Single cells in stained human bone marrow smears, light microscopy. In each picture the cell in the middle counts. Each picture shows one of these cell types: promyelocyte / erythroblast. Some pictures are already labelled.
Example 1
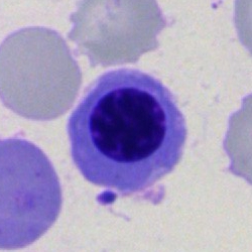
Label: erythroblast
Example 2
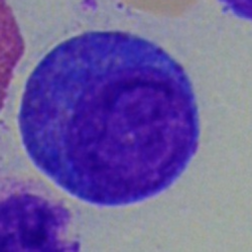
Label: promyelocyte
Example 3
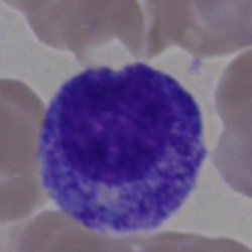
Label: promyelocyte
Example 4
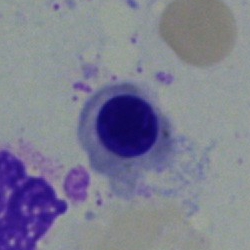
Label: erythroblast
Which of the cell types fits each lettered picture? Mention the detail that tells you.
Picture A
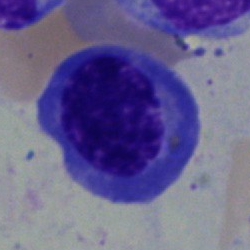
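erythroblast. The chromatin is dark purple and coarsely clumped with paler spaces between the clumps.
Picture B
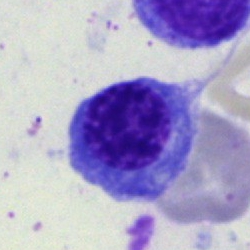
erythroblast. The chromatin is dark purple and coarsely clumped.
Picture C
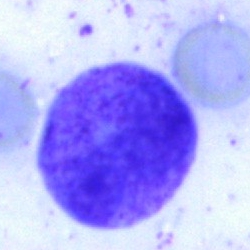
promyelocyte. The chromatin is finely dispersed rather than gathered into coarse clumps.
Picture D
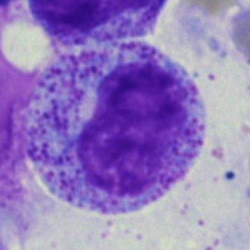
promyelocyte. Numerous purple granules are scattered throughout the cytoplasm.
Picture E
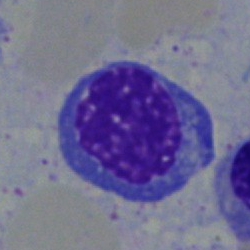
erythroblast. The dark purple chromatin is coarsely clumped with small pale gaps between the clumps.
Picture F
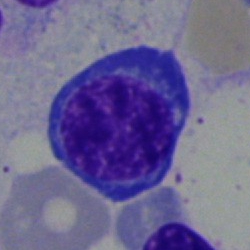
erythroblast. The chromatin is coarse and clumped, dark purple with paler gaps between the clumps.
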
